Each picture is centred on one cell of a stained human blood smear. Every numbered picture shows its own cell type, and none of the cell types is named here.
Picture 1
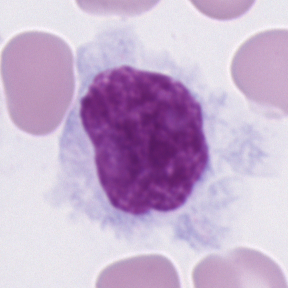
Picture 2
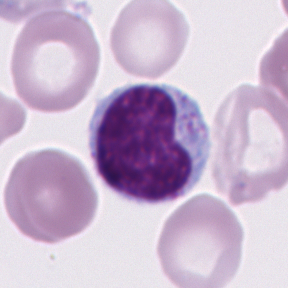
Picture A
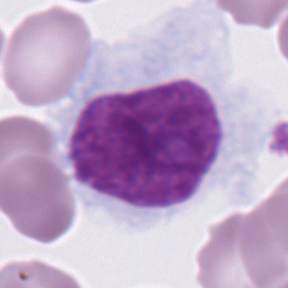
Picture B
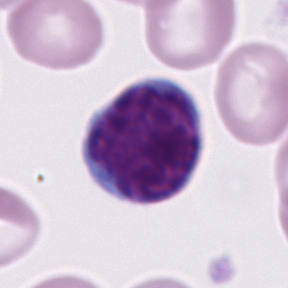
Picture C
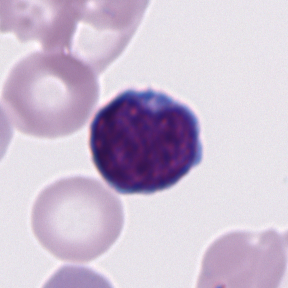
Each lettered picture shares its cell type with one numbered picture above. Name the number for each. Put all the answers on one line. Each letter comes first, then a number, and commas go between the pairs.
A 1, B 2, C 2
